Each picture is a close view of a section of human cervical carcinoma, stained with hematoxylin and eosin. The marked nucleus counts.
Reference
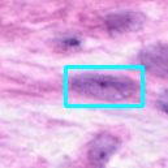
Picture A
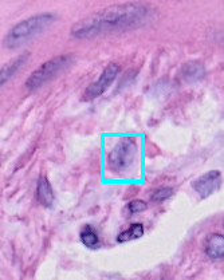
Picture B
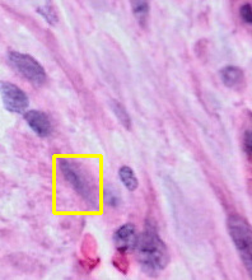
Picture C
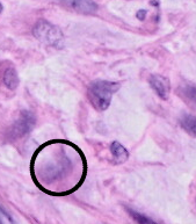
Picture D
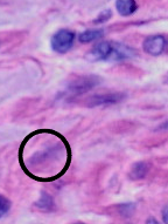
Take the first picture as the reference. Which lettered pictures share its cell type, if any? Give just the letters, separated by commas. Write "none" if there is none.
A, C, D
